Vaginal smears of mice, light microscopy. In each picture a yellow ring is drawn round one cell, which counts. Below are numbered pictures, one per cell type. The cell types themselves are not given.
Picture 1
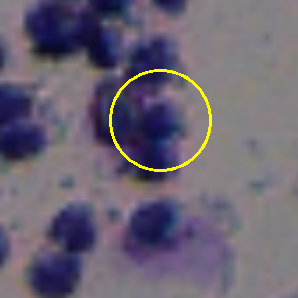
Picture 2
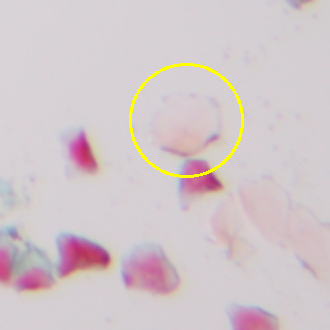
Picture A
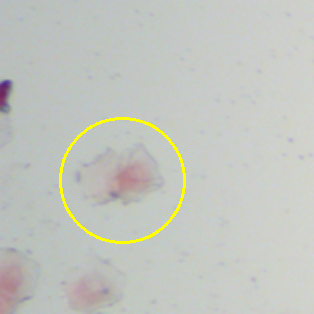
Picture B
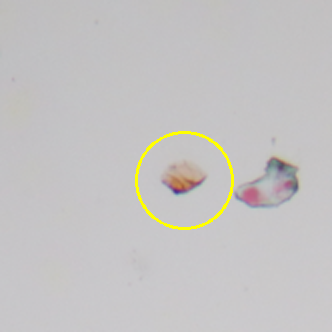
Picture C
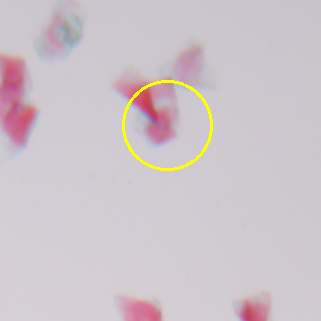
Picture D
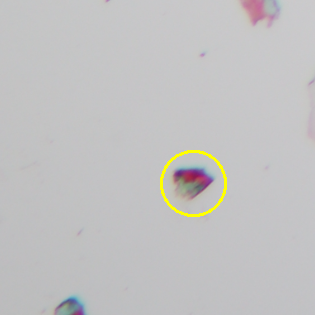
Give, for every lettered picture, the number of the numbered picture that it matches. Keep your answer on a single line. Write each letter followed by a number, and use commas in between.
A 2, B 2, C 2, D 2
